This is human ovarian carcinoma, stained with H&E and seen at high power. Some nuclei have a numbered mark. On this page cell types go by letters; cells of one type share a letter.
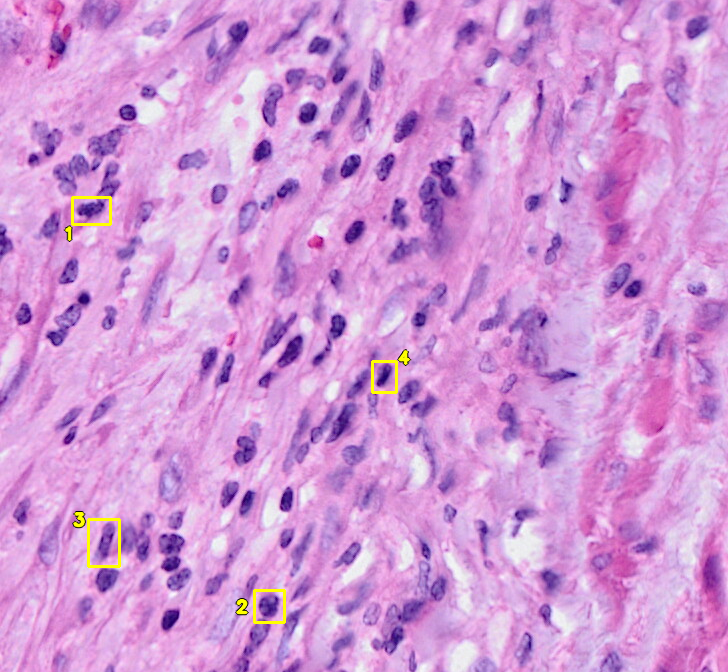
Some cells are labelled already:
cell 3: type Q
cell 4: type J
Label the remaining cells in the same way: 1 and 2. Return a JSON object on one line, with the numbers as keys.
{"1": "type J", "2": "type J"}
